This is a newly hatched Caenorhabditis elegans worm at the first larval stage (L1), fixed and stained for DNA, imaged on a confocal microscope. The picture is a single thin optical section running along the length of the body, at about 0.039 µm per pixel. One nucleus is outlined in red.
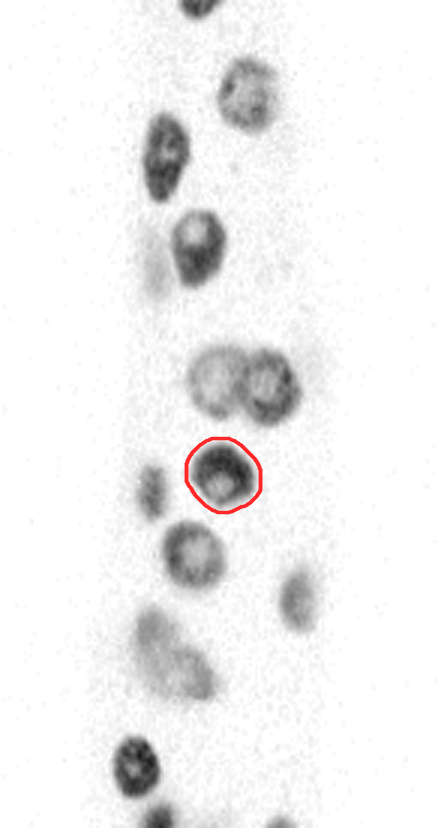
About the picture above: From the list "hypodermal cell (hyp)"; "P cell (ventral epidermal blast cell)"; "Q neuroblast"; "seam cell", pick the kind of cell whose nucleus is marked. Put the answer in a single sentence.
What is marked is the nucleus of a Q neuroblast.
